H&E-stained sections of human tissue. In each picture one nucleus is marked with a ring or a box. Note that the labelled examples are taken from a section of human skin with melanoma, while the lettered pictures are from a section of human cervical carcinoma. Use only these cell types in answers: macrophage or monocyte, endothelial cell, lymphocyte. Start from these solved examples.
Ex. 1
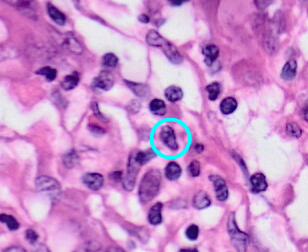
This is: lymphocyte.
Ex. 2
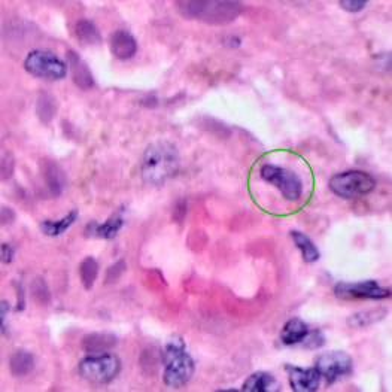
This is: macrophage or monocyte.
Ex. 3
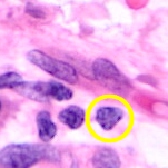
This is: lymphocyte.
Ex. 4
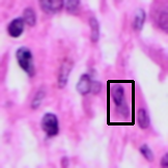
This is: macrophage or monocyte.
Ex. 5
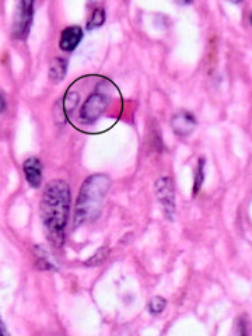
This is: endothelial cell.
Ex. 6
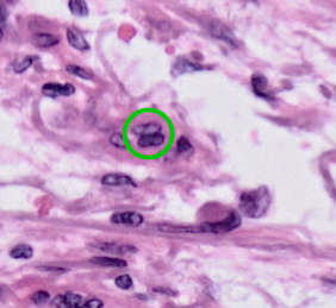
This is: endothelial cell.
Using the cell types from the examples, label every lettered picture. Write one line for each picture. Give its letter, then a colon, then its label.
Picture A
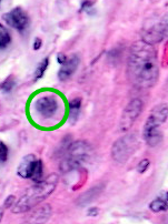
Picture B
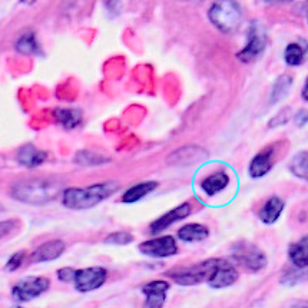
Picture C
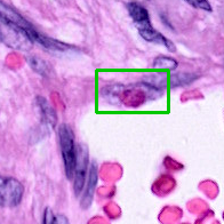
A: lymphocyte.
B: lymphocyte.
C: endothelial cell.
